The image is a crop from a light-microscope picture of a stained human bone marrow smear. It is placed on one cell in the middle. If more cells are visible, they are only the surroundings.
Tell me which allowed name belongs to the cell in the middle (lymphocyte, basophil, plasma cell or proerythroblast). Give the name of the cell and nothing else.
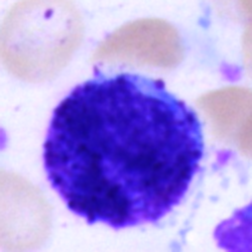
basophil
